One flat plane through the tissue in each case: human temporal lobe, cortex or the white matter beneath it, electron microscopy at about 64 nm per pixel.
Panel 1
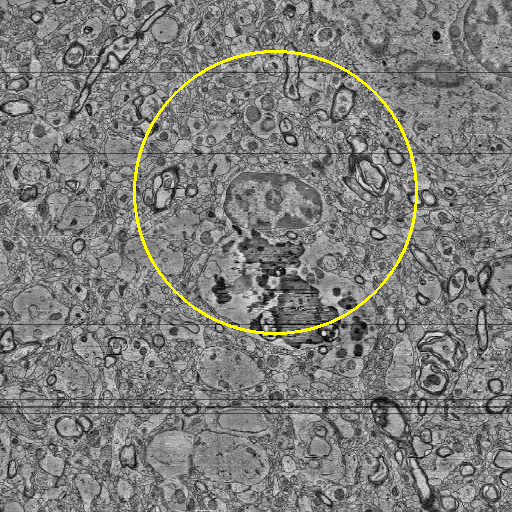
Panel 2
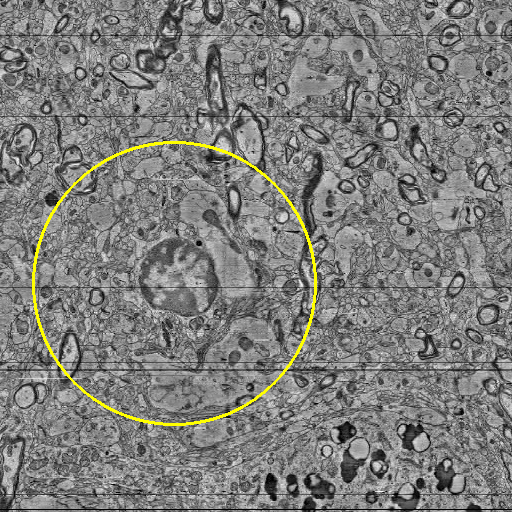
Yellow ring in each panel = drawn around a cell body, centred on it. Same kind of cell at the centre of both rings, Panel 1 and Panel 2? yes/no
yes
